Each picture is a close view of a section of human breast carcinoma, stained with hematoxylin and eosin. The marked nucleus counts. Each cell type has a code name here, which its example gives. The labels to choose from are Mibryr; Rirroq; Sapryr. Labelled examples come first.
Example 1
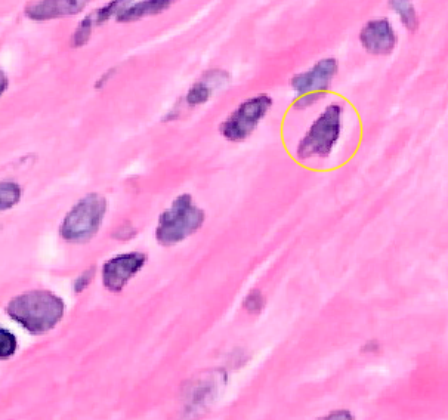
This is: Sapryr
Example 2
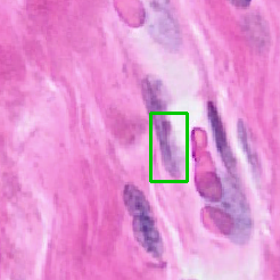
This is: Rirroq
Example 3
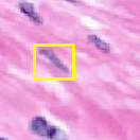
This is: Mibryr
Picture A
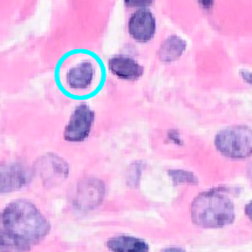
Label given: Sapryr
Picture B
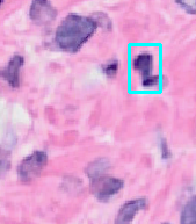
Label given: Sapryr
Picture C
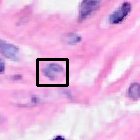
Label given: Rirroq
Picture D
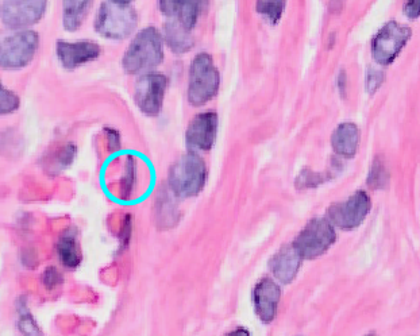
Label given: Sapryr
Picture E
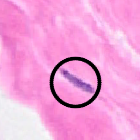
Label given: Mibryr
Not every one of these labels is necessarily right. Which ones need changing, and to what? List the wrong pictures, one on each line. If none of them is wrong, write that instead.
D: Rirroq, not Sapryr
